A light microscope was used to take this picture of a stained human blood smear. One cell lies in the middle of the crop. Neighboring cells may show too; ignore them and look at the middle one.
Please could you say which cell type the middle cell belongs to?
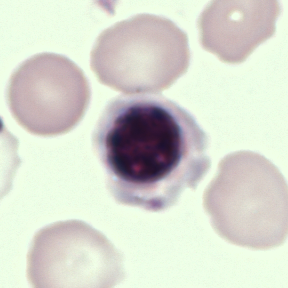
normoblast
